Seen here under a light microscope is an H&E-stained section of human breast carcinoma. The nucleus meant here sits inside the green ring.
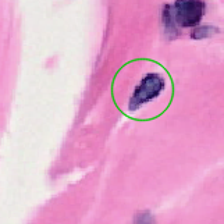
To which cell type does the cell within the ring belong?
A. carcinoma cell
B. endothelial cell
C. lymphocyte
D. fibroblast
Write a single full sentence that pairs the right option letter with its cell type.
Given that the cell within the ring is a lymphocyte, option C is the correct one.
